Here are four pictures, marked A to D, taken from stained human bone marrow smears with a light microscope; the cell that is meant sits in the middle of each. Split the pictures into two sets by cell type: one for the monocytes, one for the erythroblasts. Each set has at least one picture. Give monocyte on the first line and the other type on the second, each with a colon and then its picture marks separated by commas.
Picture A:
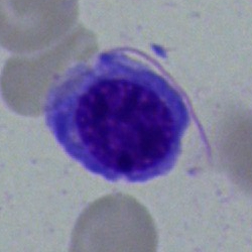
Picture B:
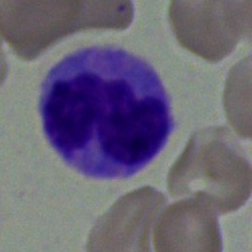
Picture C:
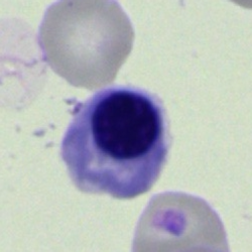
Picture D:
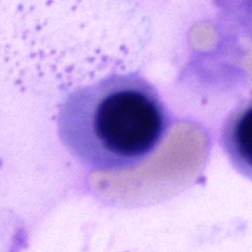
monocyte: B
erythroblast: A, C, D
